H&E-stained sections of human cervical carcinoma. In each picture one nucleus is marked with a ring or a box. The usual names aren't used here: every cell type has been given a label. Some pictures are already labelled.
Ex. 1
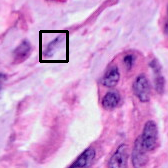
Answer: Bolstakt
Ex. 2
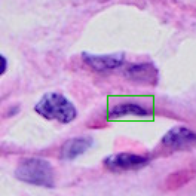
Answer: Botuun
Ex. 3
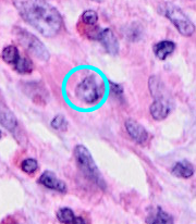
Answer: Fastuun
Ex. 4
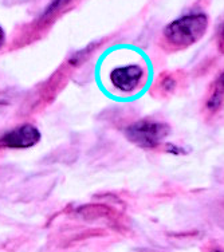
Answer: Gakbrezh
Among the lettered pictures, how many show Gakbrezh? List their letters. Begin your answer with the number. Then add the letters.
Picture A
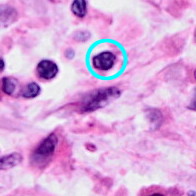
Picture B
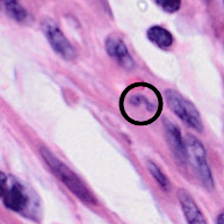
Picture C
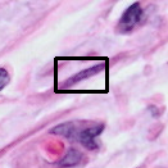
Count: 1 (A)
